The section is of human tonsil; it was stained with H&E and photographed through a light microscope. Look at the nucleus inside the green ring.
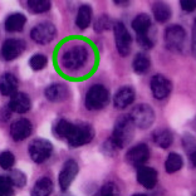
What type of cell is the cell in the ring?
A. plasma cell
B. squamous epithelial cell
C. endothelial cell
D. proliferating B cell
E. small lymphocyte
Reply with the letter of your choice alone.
A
